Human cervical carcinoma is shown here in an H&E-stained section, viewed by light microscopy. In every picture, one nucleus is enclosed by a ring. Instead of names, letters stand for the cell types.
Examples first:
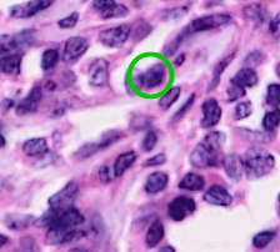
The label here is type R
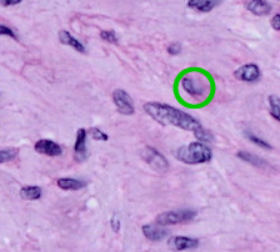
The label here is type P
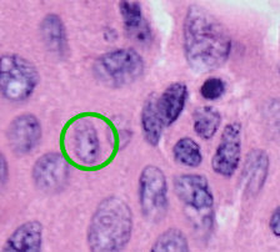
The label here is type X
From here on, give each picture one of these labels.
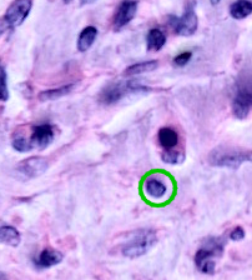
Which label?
type R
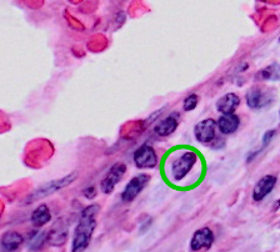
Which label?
type R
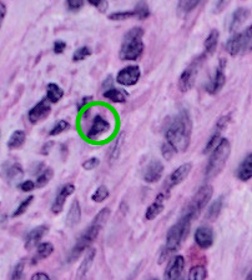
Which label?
type R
